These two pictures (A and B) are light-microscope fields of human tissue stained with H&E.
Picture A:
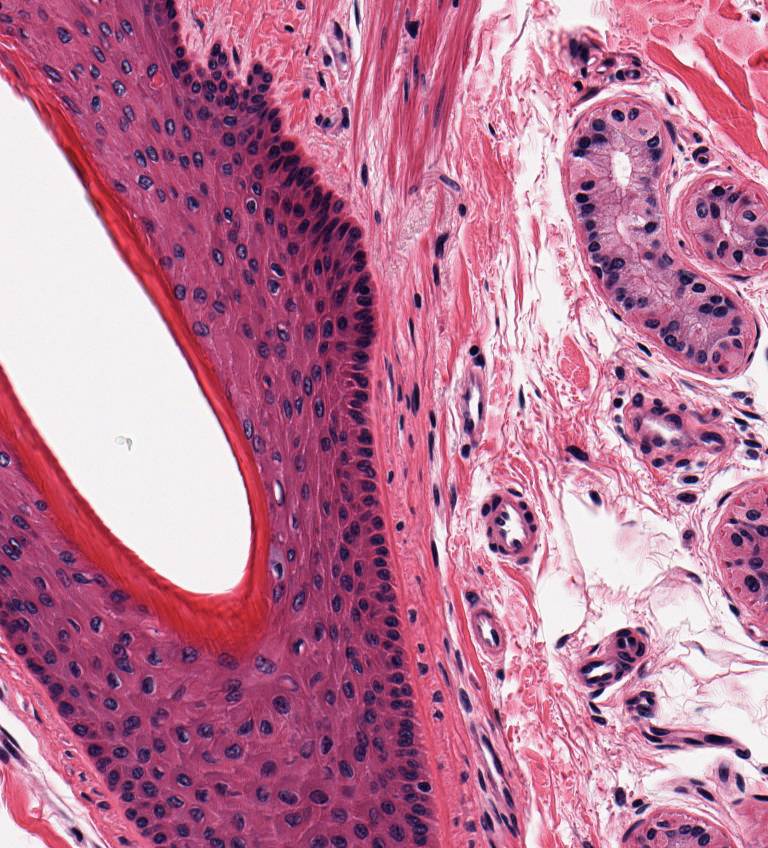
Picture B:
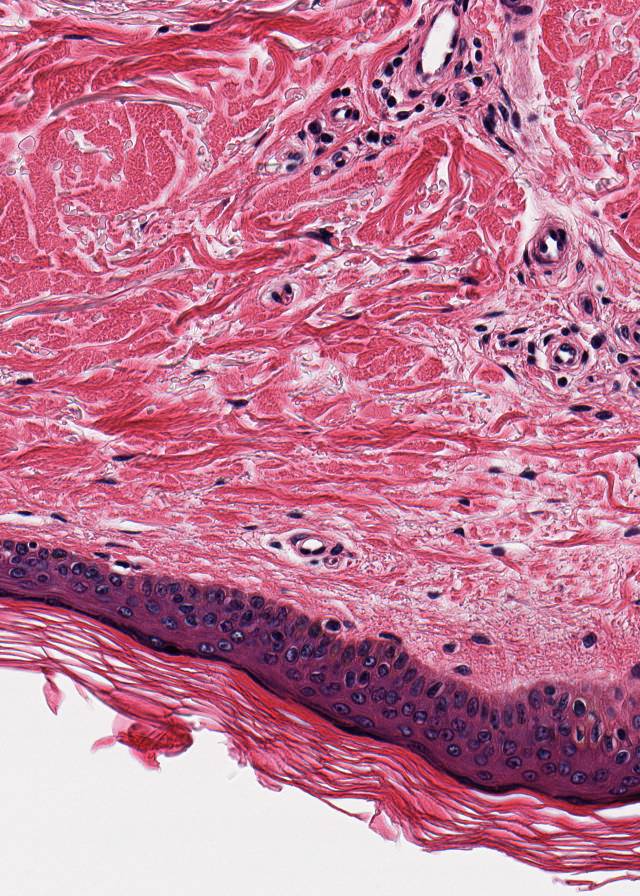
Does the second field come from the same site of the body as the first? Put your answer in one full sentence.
Yes; both pictures come from the skin of the lower leg.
